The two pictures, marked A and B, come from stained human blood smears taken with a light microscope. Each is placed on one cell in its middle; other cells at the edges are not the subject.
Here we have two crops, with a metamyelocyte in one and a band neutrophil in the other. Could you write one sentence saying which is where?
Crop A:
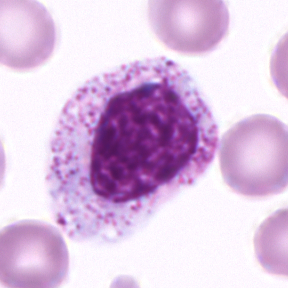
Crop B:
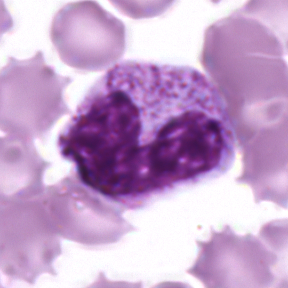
Crop A is a metamyelocyte, whilst crop B is a band neutrophil.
